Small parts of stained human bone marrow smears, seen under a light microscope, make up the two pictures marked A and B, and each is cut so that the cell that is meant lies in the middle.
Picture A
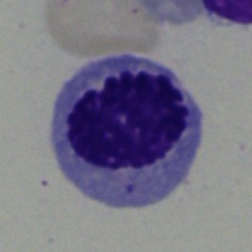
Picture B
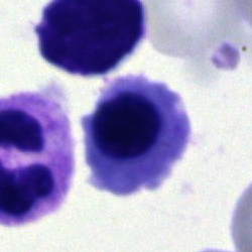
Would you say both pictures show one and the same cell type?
yes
